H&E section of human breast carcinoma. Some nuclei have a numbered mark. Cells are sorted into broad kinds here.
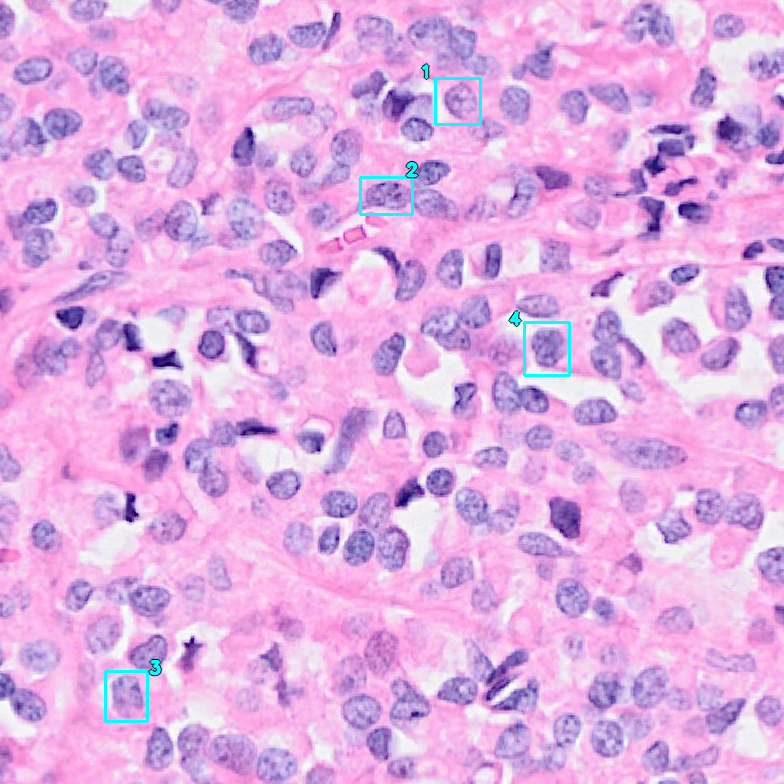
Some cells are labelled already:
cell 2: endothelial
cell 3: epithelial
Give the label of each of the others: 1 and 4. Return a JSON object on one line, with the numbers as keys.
{"1": "epithelial", "4": "epithelial"}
